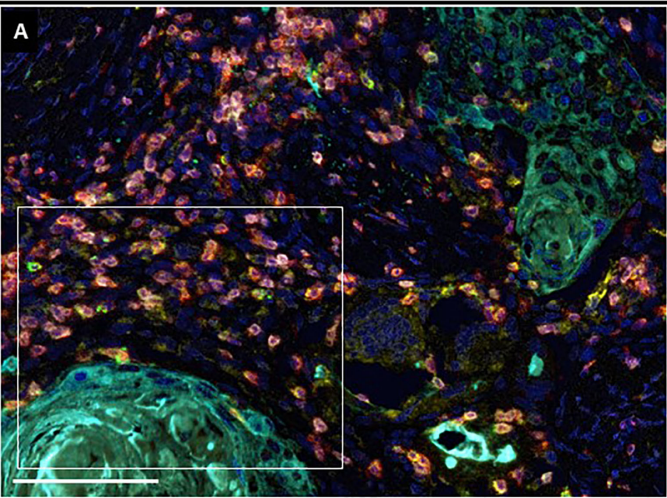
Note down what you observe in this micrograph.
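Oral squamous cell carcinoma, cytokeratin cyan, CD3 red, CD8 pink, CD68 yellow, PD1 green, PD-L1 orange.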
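Between the nests, many small round cells with blue nuclei are outlined in red, pink and orange, densely packed in the upper and left stroma. Scattered yellow cells and a few green cells lie among them. Small dark spaces lined by flattened cells are seen in the centre of the field.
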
